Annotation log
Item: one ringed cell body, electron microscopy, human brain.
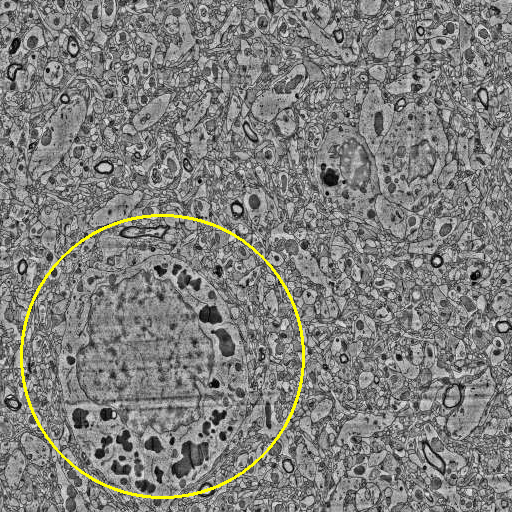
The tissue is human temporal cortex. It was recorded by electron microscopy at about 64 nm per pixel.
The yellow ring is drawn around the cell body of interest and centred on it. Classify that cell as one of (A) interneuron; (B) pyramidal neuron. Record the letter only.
A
